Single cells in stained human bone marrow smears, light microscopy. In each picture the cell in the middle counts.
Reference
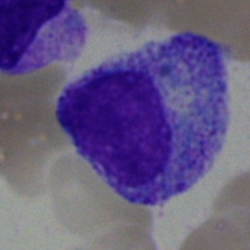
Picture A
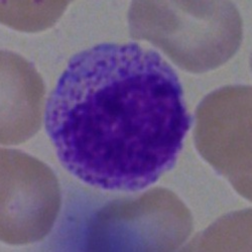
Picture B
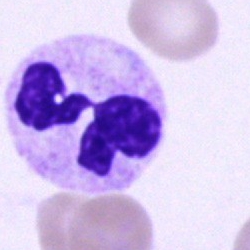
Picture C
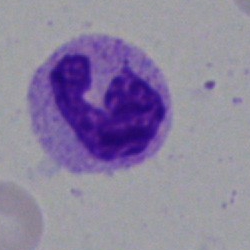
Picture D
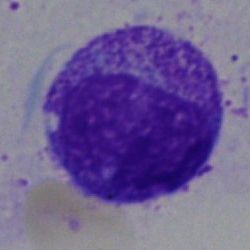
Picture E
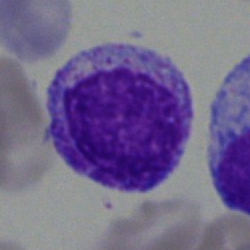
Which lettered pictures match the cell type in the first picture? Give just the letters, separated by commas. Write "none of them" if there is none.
A, D, E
